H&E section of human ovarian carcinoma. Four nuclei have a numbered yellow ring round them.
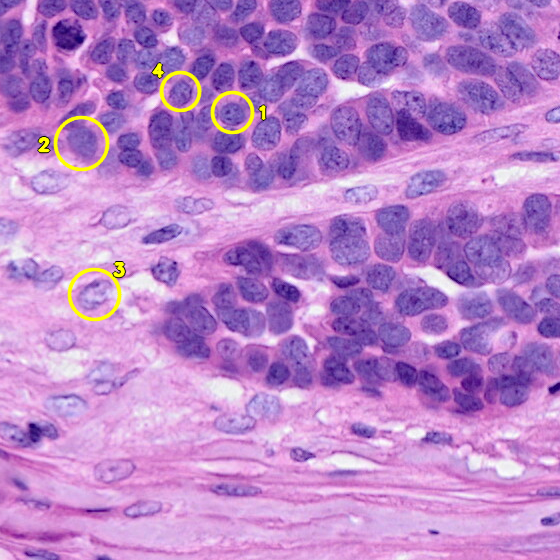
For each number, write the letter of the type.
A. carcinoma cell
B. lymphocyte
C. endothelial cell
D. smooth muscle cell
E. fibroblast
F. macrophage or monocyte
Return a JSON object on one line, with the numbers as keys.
{"1": "A", "2": "A", "3": "E", "4": "A"}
